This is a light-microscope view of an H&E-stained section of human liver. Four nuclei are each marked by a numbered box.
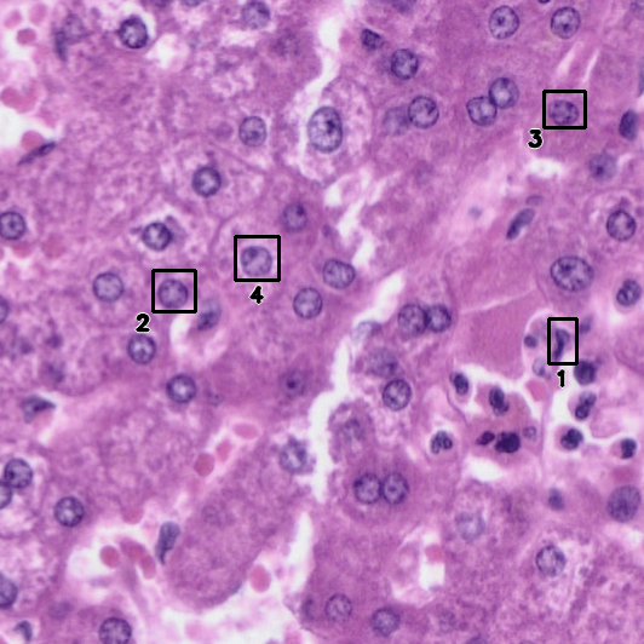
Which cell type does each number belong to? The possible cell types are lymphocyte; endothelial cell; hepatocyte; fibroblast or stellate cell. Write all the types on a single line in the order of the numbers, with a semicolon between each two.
fibroblast or stellate cell; hepatocyte; hepatocyte; hepatocyte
